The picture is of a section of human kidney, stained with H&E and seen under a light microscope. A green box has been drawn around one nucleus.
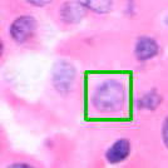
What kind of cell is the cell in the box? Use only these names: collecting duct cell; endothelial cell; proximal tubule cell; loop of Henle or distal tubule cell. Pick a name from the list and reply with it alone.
loop of Henle or distal tubule cell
